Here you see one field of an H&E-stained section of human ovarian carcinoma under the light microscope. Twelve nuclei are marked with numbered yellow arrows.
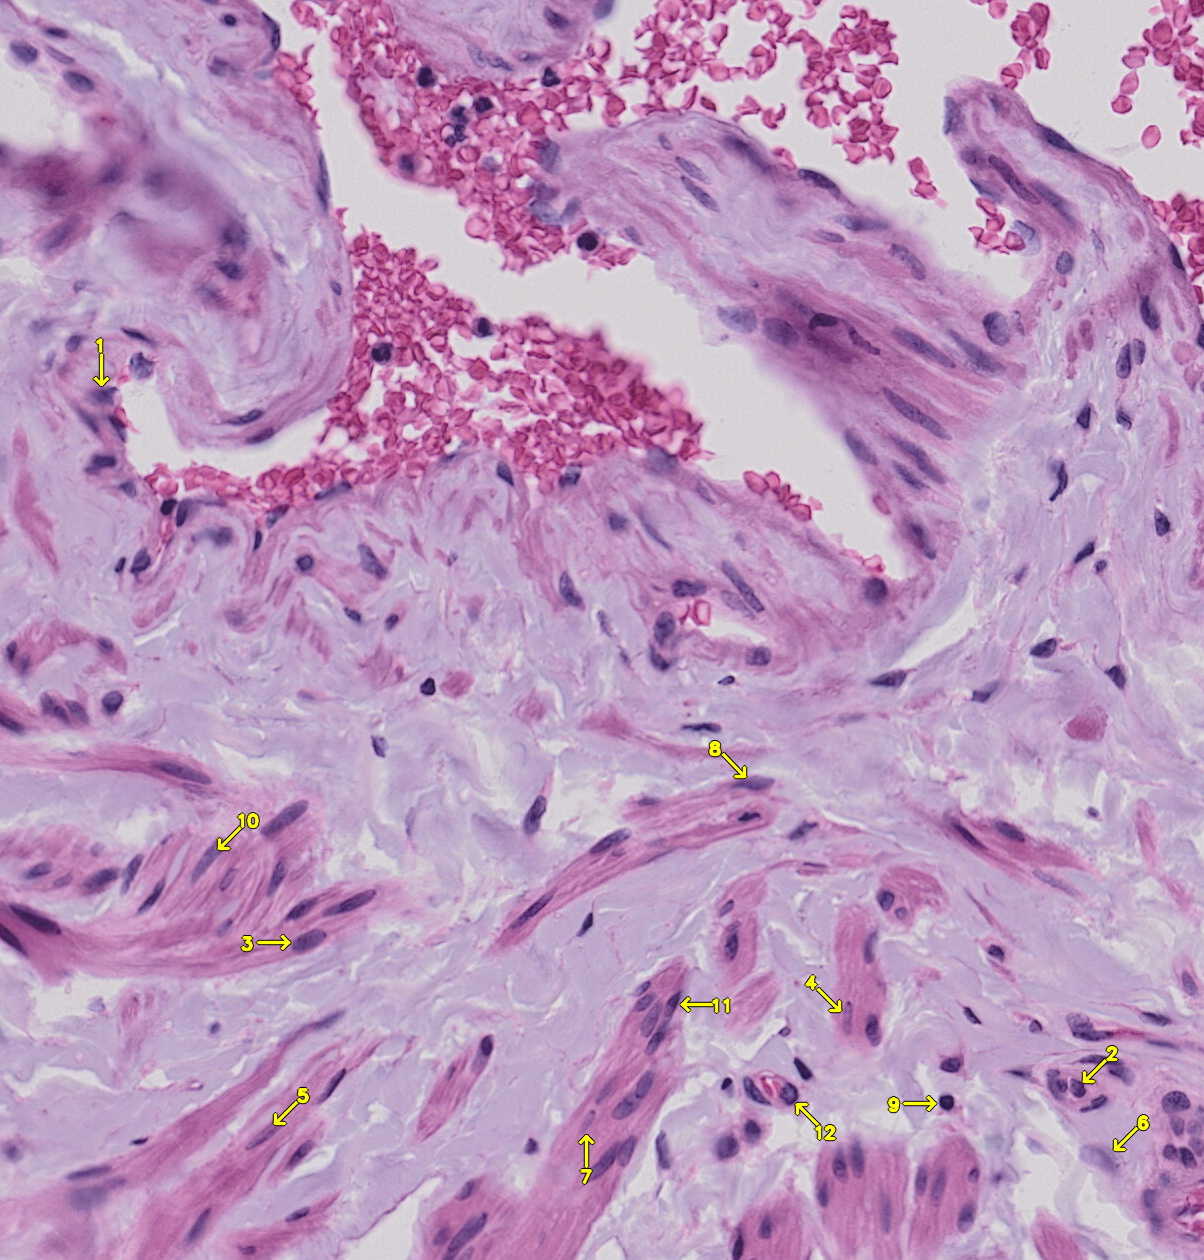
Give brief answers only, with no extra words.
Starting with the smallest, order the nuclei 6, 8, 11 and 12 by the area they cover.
11, 12, 8, 6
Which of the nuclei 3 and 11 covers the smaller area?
11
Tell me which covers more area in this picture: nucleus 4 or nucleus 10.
10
